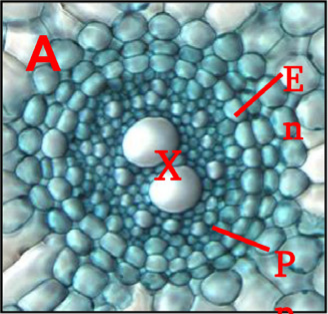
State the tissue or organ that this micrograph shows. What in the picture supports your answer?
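A central cylinder with large round open vessels in the middle. Larger loosely arranged cells lie outside the ring.
Roots.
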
